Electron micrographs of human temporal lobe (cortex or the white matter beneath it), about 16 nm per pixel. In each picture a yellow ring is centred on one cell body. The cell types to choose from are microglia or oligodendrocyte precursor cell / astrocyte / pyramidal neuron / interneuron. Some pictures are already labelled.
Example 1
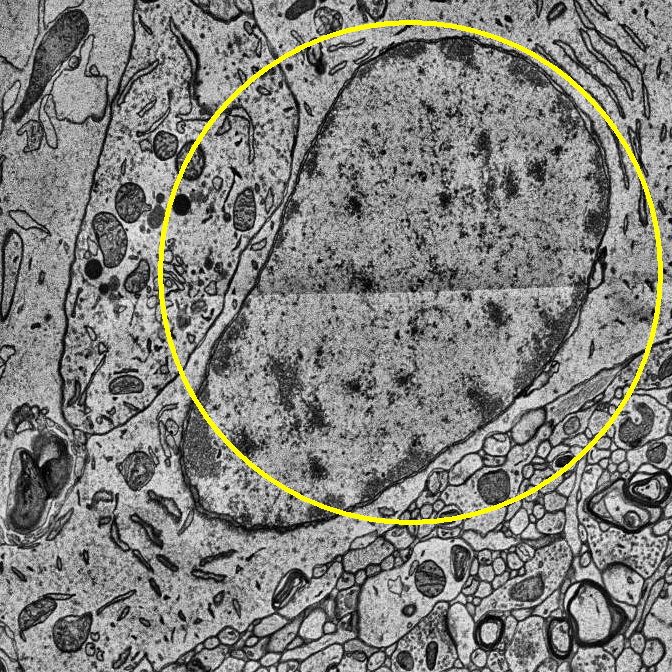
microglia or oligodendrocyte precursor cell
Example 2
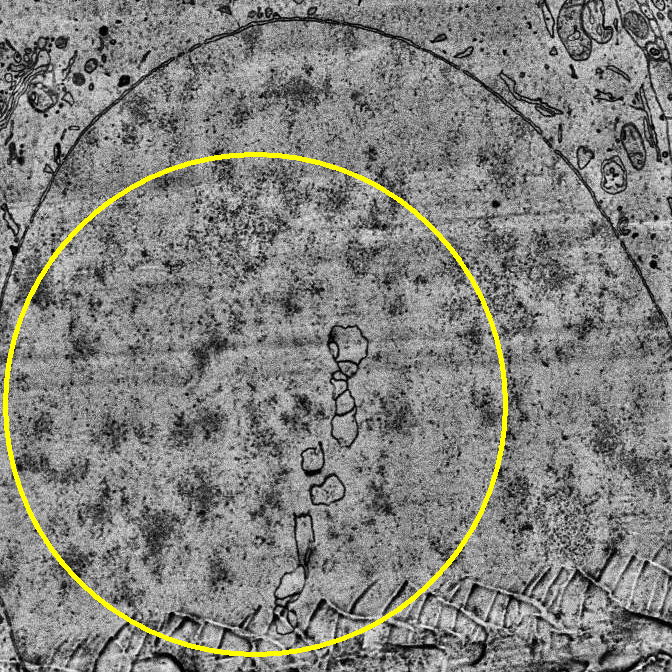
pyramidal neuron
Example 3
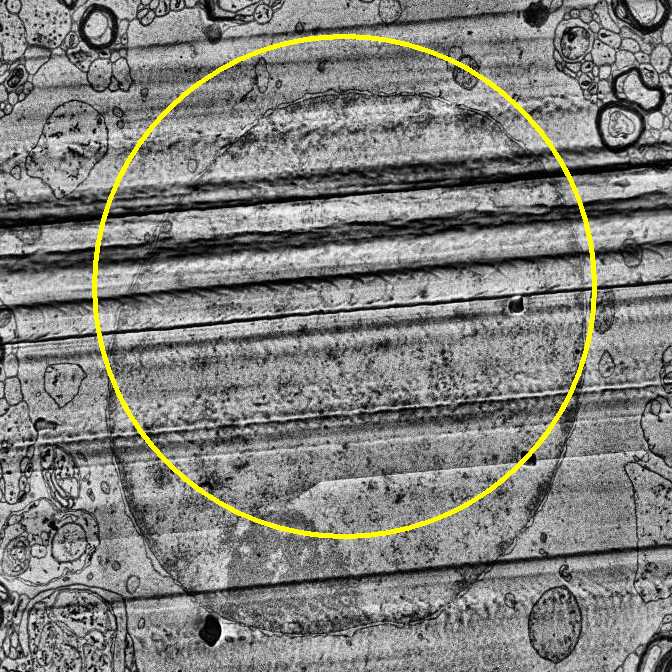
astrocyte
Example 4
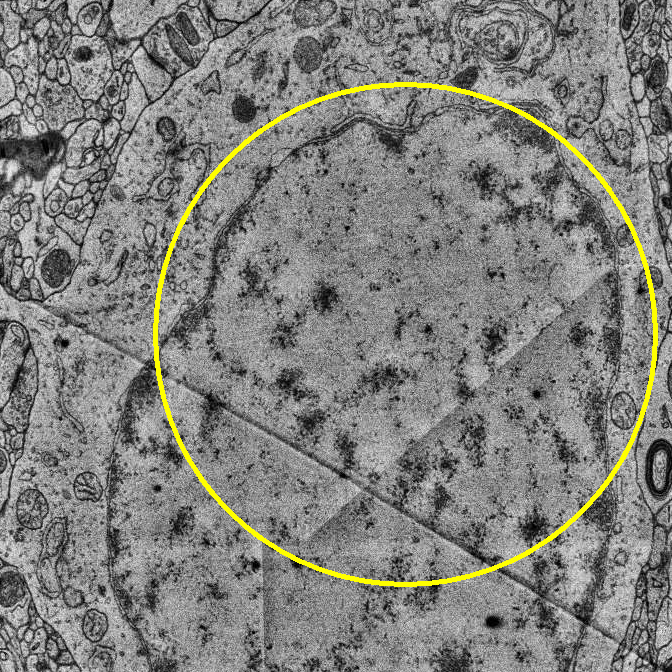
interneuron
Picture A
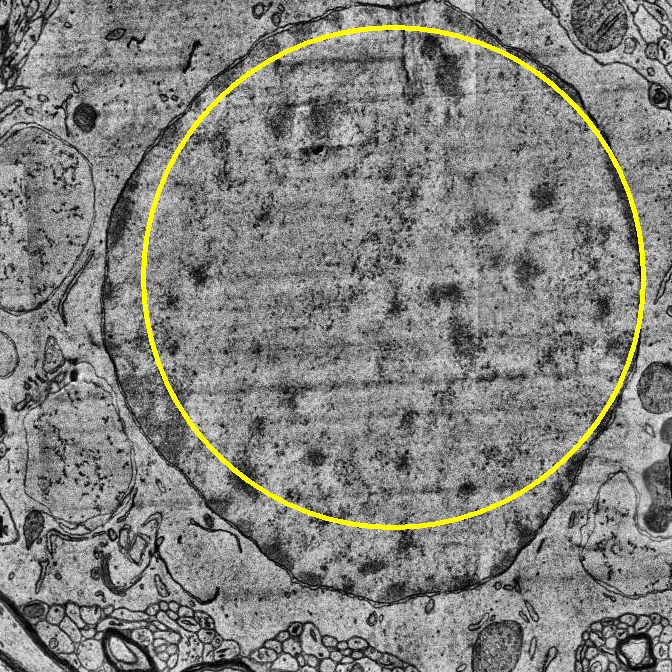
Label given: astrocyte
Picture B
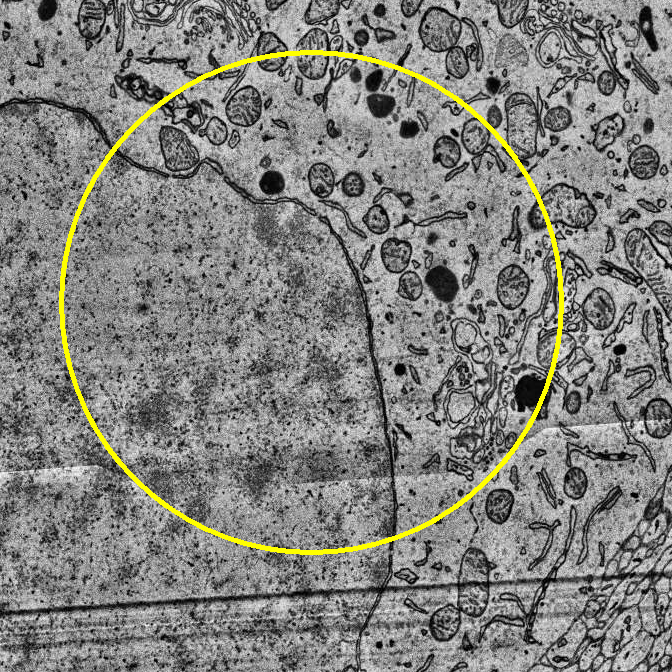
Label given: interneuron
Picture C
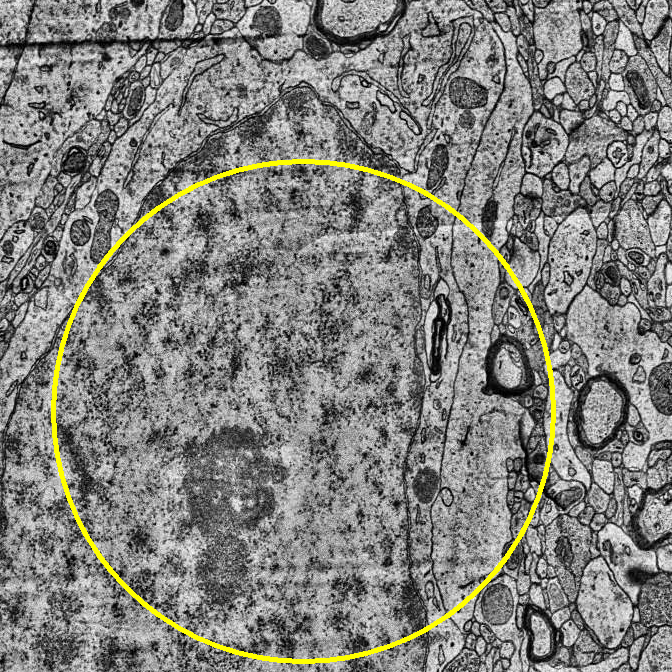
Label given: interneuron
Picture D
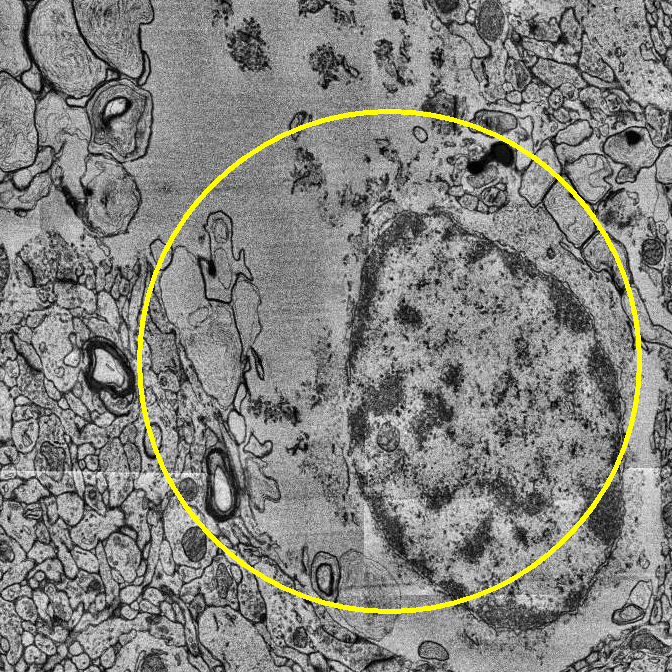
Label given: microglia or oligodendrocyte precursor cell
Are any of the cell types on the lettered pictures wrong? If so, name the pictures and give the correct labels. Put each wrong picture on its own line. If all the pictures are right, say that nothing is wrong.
All labels are correct.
